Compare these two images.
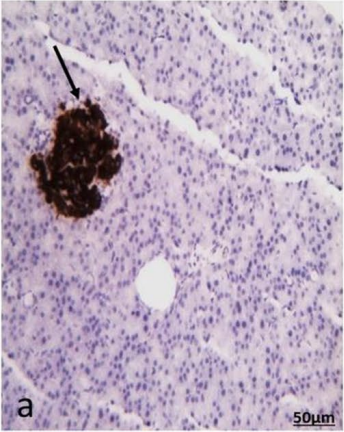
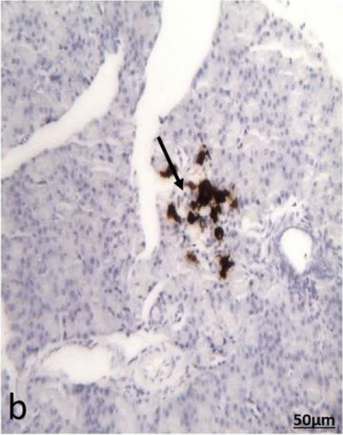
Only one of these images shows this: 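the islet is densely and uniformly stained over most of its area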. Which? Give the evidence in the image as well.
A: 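Second image: only a few scattered brown-stained cells in a small, loose cluster. First image: a compact cluster filled almost entirely with dark brown stain.
Hence: the first image.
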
